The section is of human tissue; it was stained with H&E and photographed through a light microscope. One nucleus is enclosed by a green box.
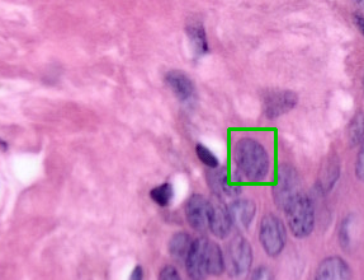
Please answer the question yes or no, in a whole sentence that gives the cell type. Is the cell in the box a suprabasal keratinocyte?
No, it is not a suprabasal keratinocyte but a basal keratinocyte that the cell in the box represents.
